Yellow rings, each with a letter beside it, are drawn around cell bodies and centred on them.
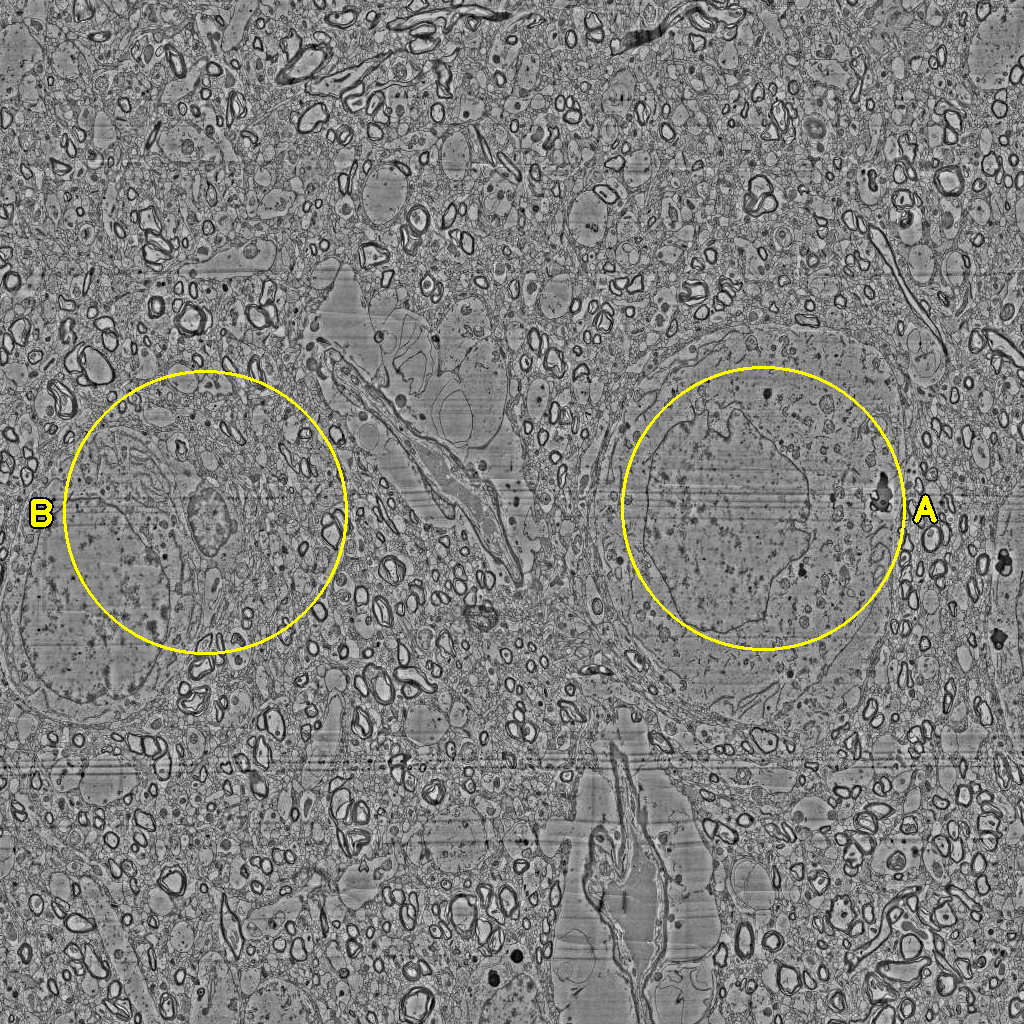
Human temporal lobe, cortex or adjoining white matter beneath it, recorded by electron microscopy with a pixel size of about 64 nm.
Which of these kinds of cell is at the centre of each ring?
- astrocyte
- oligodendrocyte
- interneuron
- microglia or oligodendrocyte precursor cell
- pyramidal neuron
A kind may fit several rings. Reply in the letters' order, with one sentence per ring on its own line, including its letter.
The cell in the middle of ring A is a pyramidal neuron.
The cell in the middle of ring B is an oligodendrocyte.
